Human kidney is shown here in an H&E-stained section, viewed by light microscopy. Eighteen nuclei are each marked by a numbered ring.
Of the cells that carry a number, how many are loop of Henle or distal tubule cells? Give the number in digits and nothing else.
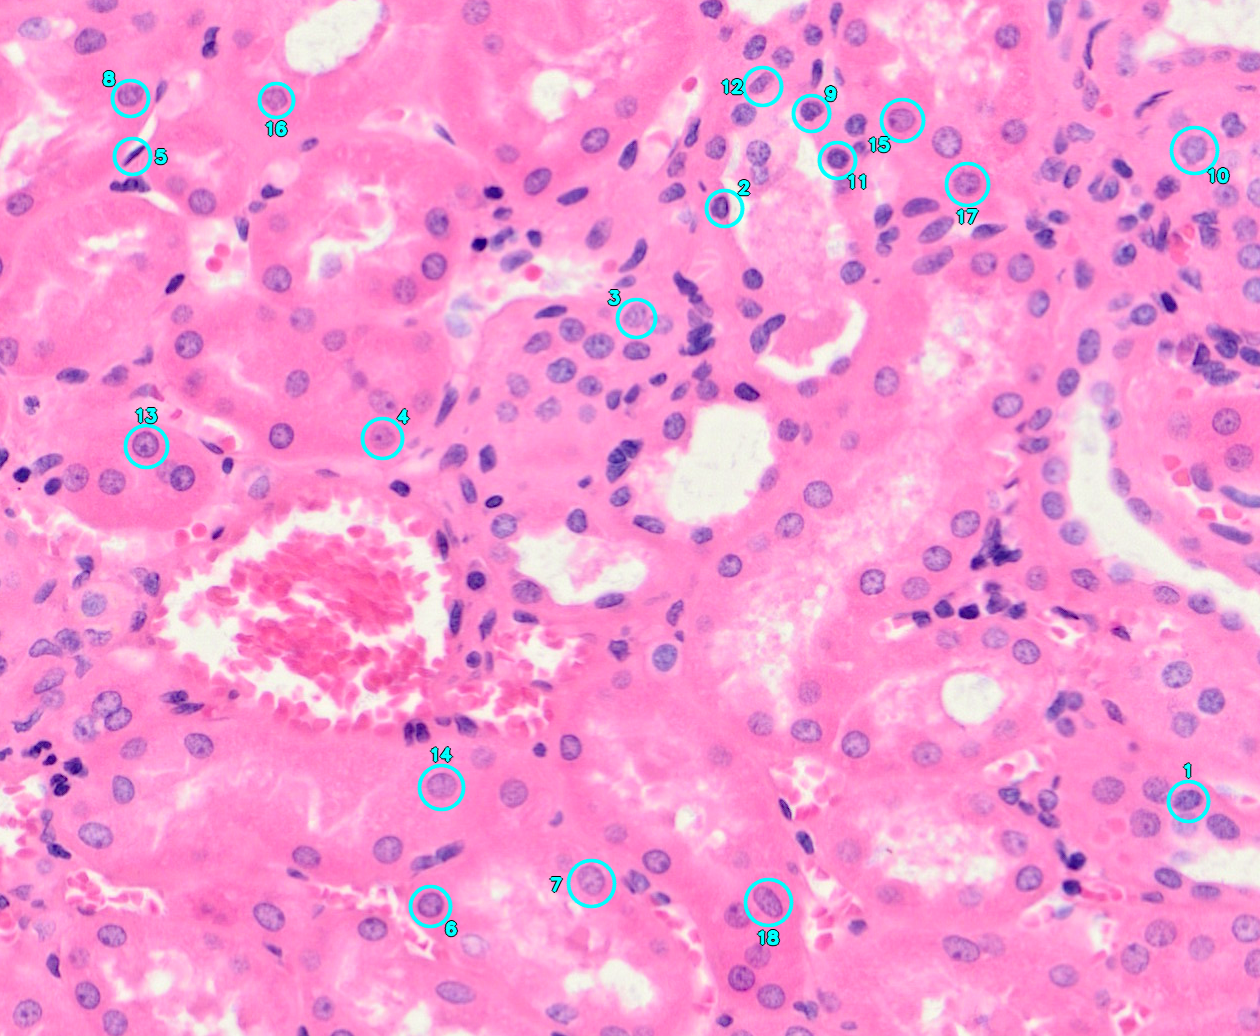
6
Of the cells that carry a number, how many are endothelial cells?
1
